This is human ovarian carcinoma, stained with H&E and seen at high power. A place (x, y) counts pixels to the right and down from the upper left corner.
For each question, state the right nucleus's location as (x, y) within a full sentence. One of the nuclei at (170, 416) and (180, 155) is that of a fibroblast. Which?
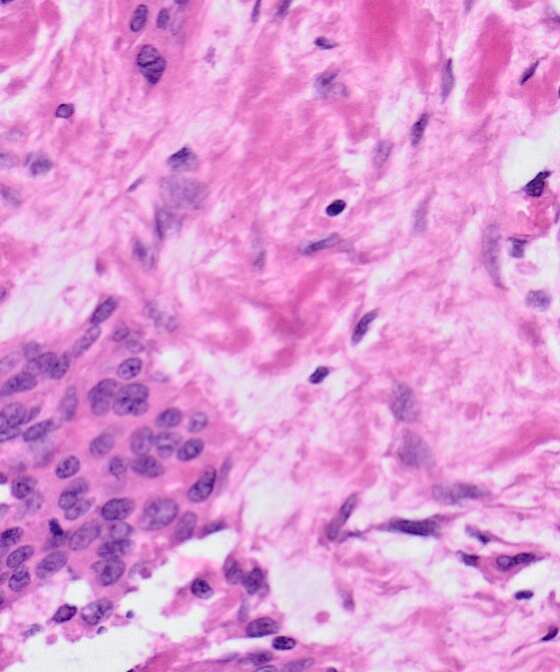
The correct choice is the nucleus at (180, 155), which belongs to a fibroblast.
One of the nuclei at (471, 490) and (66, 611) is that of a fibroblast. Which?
Of the two nuclei, the one sitting at (471, 490) belongs to a fibroblast.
